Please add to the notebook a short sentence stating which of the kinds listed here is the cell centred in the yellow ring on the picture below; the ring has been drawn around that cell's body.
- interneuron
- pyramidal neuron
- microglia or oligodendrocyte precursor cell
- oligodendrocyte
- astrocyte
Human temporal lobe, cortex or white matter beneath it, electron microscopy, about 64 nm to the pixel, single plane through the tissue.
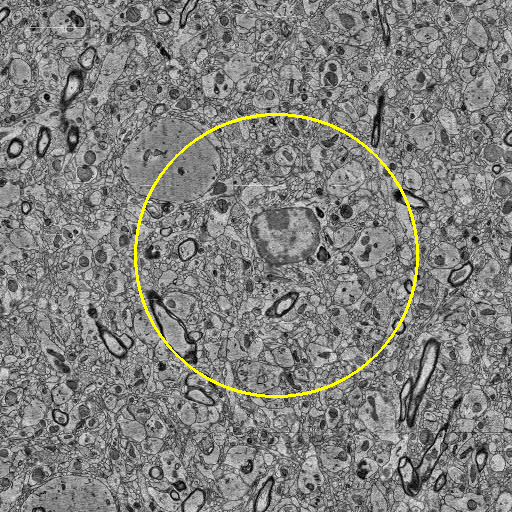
The cell centred in the yellow ring is a microglial cell or oligodendrocyte precursor cell.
